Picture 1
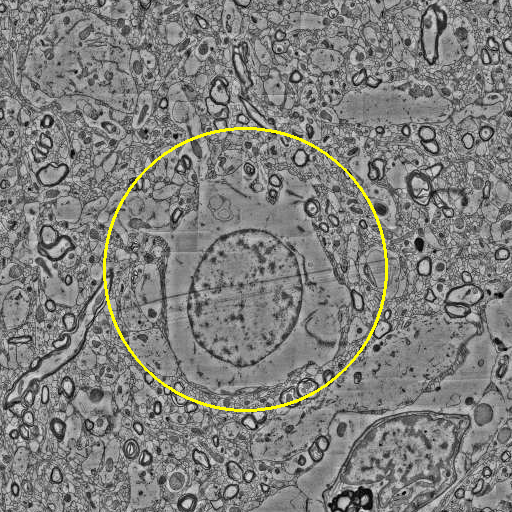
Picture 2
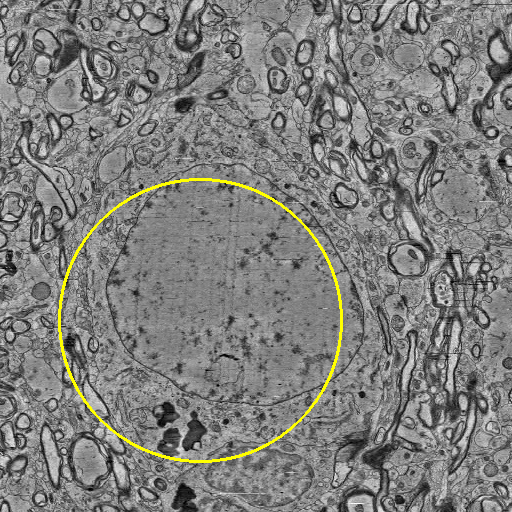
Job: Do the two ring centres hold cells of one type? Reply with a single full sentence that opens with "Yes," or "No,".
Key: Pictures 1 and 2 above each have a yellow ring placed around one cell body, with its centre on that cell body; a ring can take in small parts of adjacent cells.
No, the cells at the two ring centres are of two separate types.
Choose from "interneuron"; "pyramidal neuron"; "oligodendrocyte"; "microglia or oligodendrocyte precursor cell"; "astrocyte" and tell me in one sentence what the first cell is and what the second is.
What the first ring is centred on is an astrocyte; what the second ring is centred on is a pyramidal neuron.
